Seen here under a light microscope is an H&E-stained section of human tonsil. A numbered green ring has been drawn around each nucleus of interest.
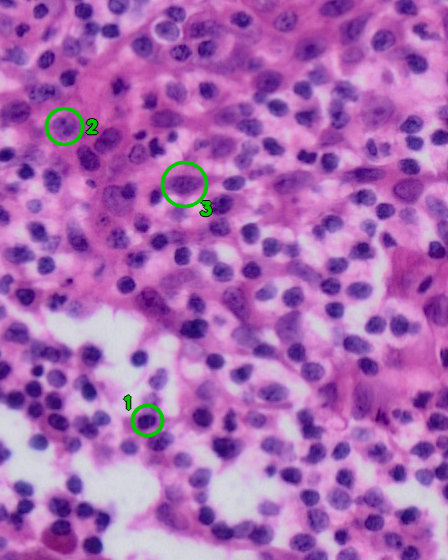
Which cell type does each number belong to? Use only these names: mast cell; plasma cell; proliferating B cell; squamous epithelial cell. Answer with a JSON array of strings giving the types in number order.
["plasma cell", "squamous epithelial cell", "squamous epithelial cell"]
